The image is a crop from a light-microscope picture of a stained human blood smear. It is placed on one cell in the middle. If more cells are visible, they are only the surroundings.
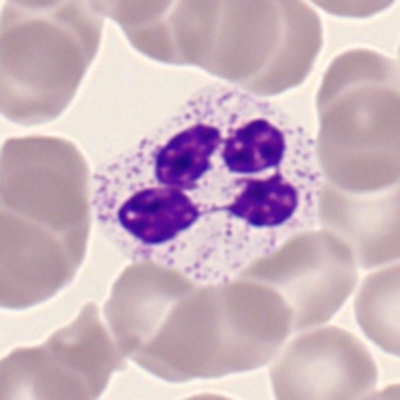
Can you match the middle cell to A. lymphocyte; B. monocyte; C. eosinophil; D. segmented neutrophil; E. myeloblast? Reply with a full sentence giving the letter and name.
Option D is correct here, and the cell in the middle is a segmented neutrophil.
